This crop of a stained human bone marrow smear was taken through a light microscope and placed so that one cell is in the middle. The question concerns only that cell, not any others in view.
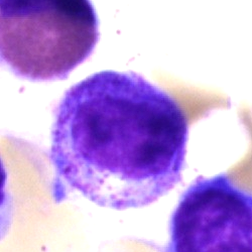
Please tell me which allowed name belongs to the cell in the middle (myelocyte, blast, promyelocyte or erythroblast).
myelocyte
